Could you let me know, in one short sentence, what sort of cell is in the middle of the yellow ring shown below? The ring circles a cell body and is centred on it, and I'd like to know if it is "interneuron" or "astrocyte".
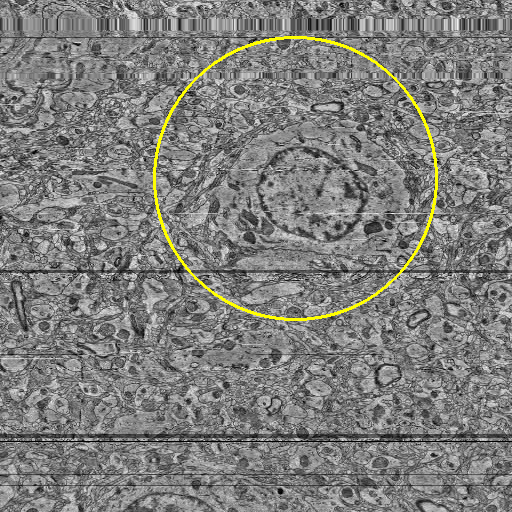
The ring circles the cell body of an astrocyte.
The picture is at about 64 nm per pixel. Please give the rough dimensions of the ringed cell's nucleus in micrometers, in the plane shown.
In this plane, roughly 7 by 6 micrometres.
